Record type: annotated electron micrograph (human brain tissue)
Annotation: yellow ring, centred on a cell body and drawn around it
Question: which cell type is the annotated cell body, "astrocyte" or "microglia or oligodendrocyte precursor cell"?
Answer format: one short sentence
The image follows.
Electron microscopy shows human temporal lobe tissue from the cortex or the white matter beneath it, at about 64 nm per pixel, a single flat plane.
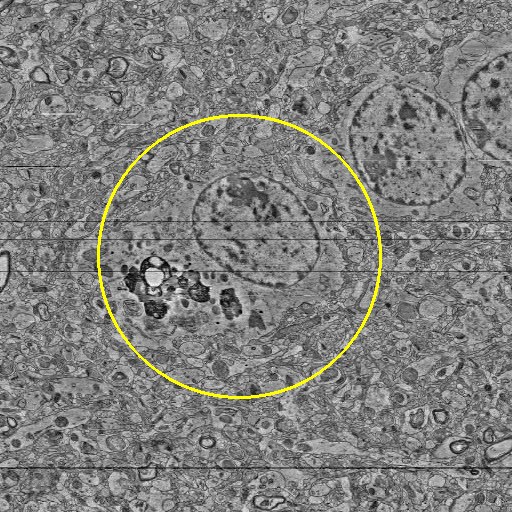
The annotated cell body is that of an astrocyte.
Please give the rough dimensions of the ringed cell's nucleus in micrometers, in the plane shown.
In this plane the nucleus spans approximately 9 by 7 micrometers.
